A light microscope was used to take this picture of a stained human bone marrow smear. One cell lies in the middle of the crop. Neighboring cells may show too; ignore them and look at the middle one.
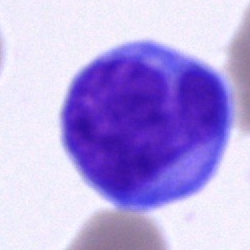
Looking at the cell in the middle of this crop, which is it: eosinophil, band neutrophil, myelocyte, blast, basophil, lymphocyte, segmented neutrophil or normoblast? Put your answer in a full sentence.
The centrally positioned cell in the crop represents a blast.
